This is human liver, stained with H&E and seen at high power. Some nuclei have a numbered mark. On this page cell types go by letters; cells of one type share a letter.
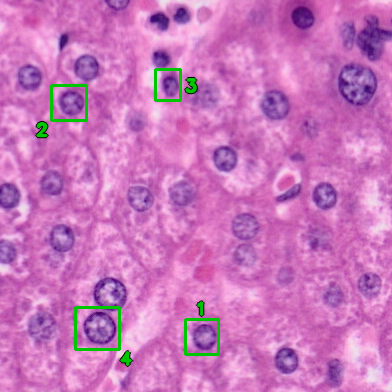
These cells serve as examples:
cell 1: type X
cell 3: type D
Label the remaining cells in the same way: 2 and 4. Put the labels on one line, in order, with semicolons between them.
type X; type X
